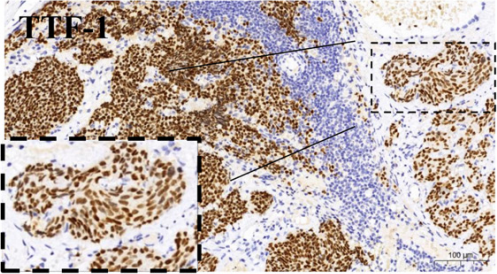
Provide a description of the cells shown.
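This section shows tumor tissue arranged as rounded nests and sheets of cells within a pale stroma. Nearly every tumor cell nucleus is stained dark brown, while the cytoplasm stays pale. A central band of small round cells with blue nuclei is left unstained and separates groups of brown-staining nests. The enlarged inset shows a nest in which the brown nuclei are oval to elongated and closely packed, surrounded by pale stroma with scattered blue nuclei.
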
